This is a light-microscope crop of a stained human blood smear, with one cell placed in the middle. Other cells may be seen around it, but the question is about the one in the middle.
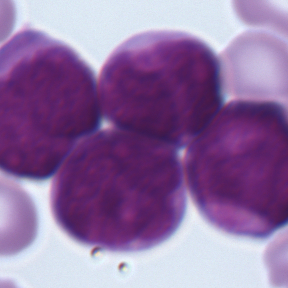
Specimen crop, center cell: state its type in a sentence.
At the center of the crop sits a myeloblast.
